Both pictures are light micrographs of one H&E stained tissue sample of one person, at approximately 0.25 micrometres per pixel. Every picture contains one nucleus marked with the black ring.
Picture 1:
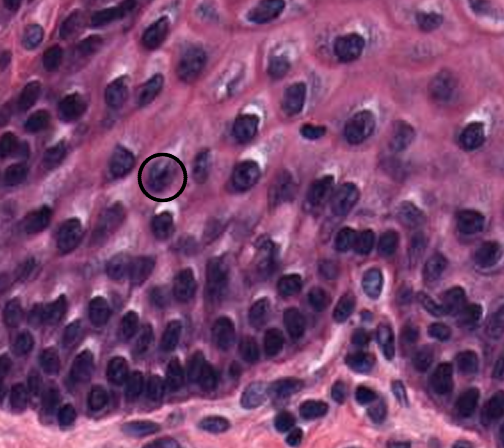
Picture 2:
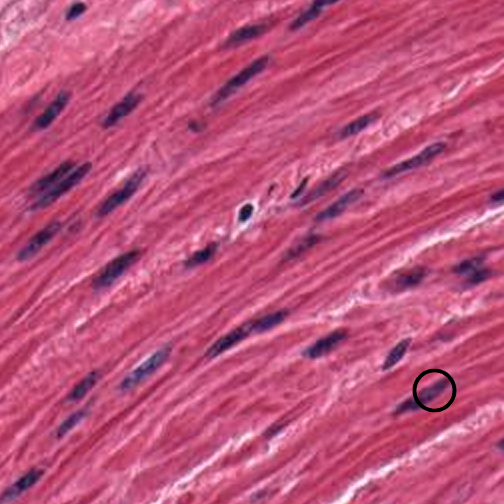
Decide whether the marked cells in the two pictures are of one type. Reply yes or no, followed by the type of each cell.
No, the first is a squamous epithelial cell and the second a smooth muscle cell.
